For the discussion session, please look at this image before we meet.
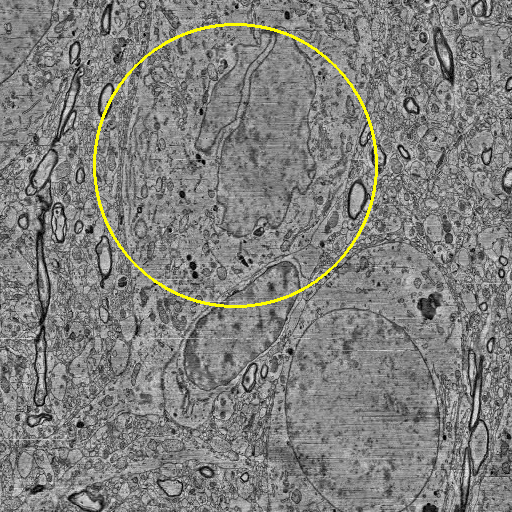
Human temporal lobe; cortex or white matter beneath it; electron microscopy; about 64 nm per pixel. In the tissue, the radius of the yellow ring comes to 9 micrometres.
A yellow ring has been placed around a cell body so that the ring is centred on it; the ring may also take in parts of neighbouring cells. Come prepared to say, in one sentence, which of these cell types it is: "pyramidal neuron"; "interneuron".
The cell centred in the ring is a pyramidal neuron.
